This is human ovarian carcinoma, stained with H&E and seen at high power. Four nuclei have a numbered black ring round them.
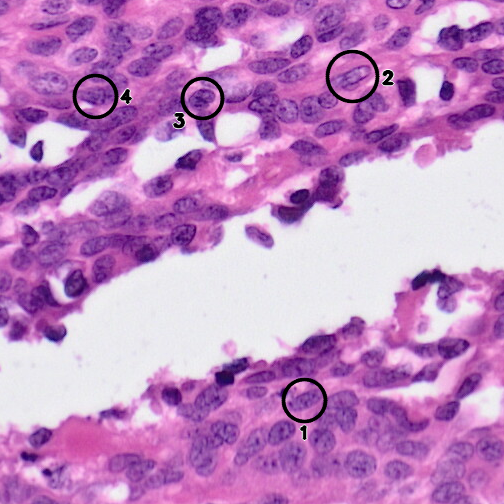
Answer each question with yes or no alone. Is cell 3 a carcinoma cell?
no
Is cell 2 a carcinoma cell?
no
